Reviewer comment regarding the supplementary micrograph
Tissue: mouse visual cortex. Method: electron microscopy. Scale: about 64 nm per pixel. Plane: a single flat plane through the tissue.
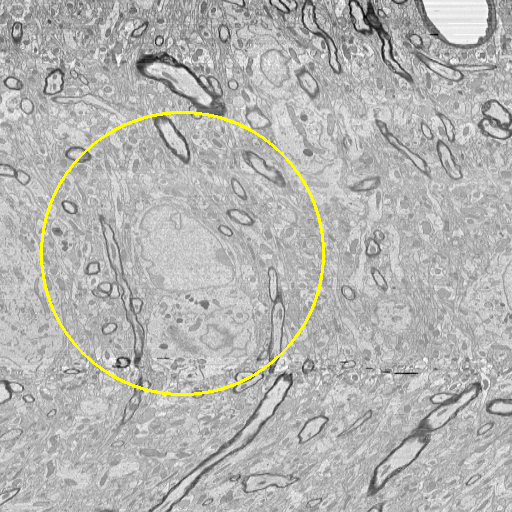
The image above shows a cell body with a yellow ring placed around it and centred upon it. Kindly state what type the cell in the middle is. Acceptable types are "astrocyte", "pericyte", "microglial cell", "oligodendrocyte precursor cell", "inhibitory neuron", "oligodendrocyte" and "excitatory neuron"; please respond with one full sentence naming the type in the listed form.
In the image above, the cell on which the yellow ring is centred is an oligodendrocyte precursor cell.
